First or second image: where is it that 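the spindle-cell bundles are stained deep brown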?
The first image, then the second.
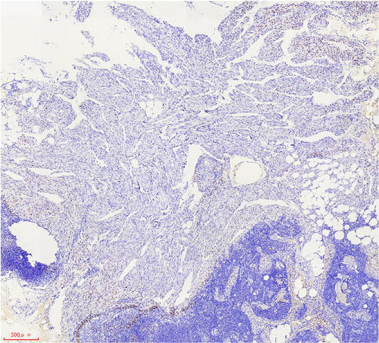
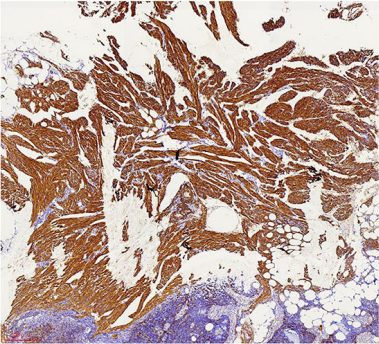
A: The second image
